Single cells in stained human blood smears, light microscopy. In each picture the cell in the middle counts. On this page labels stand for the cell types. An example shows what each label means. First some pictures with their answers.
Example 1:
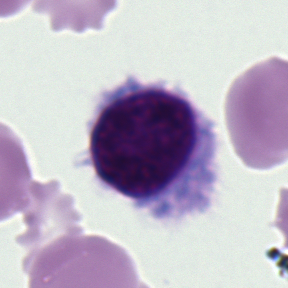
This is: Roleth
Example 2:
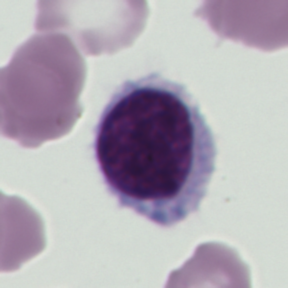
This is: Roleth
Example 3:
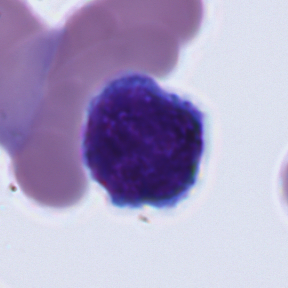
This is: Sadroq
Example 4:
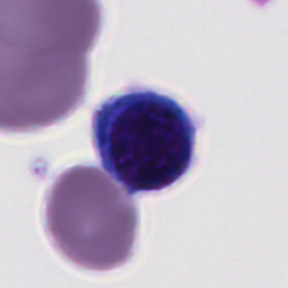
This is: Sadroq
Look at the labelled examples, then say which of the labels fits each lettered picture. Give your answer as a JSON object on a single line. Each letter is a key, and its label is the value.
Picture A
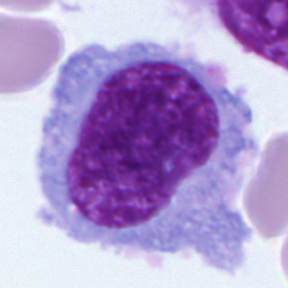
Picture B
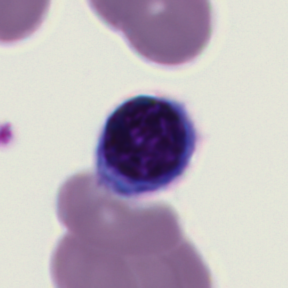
{"A": "Sadroq", "B": "Sadroq"}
